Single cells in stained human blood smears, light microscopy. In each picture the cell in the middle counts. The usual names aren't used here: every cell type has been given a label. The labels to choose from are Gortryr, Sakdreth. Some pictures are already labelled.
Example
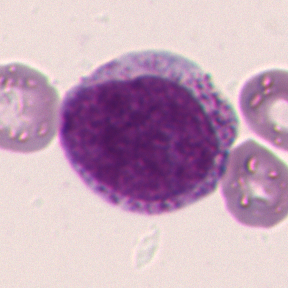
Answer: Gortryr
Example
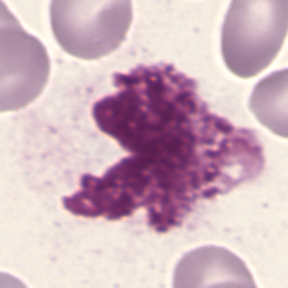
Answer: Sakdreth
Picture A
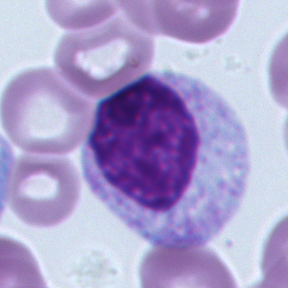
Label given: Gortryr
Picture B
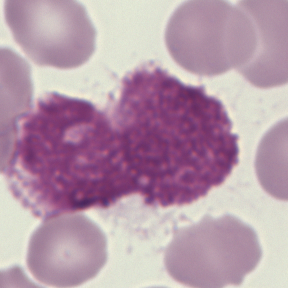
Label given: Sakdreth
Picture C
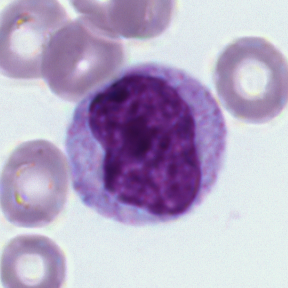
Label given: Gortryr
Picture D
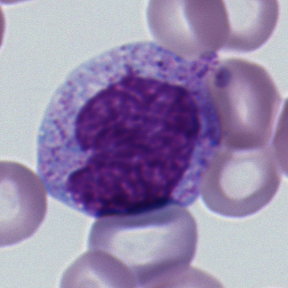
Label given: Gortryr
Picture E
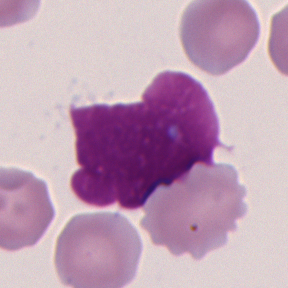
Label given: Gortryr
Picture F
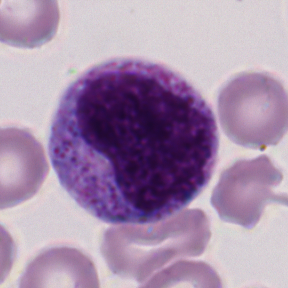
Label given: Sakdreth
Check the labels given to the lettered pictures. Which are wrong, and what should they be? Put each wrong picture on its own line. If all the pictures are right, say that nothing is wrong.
E: Sakdreth, not Gortryr
F: Gortryr, not Sakdreth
